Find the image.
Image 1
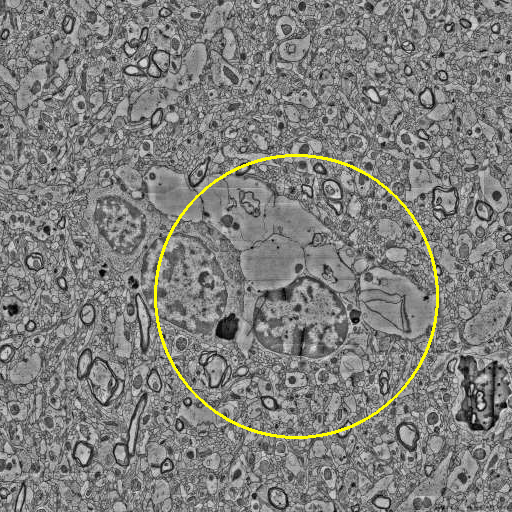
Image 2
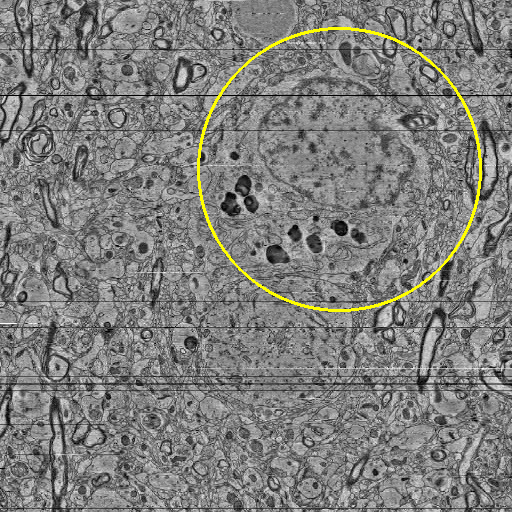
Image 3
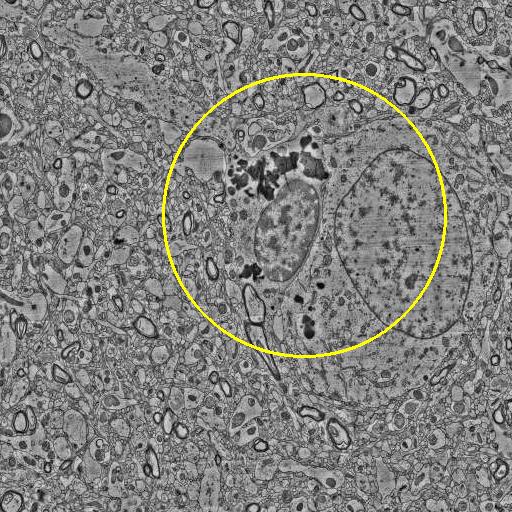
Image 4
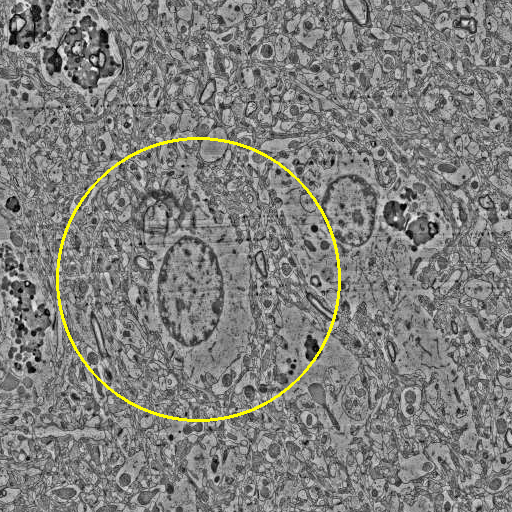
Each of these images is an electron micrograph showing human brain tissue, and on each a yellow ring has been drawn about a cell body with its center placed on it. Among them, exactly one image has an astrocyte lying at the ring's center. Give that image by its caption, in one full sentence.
The ring in Image 4 is centered on the cell the question describes.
